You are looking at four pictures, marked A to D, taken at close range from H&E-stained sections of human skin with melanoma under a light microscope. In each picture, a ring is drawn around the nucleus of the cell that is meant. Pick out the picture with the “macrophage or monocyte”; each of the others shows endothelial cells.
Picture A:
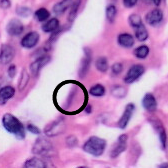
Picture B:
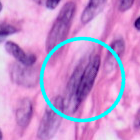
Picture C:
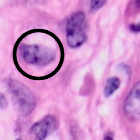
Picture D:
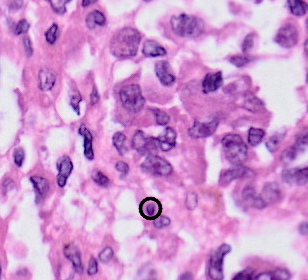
D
